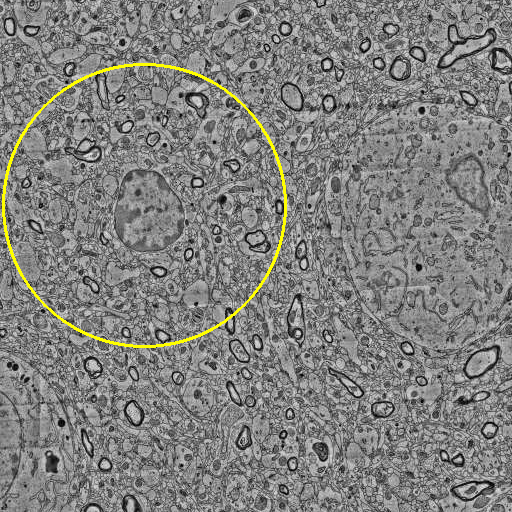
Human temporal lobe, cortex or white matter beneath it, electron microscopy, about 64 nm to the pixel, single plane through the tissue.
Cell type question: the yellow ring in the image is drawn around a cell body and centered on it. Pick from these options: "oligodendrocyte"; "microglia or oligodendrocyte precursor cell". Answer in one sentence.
The ringed cell at the center is a microglial cell or oligodendrocyte precursor cell.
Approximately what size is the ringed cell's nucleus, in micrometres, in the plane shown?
About 5 micrometres across in this plane.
